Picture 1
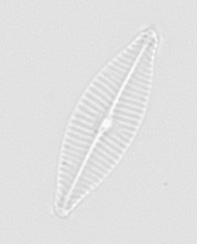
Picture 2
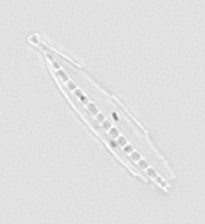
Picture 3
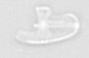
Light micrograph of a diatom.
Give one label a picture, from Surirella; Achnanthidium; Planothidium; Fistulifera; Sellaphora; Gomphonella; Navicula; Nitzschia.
(1) Navicula
(2) Nitzschia
(3) Sellaphora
